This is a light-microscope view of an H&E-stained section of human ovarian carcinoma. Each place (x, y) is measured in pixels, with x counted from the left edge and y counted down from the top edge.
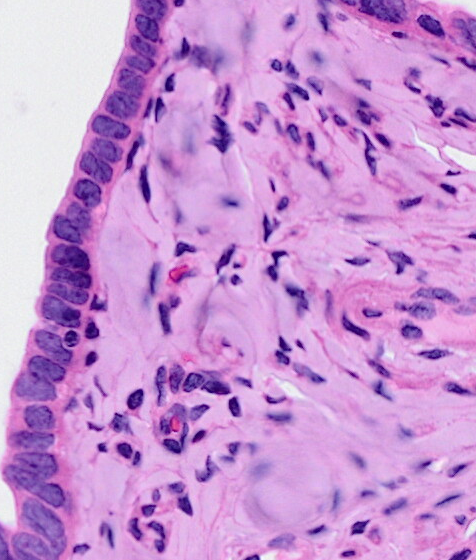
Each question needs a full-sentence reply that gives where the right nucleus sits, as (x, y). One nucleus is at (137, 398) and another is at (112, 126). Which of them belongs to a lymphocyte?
The nucleus at position (137, 398) belongs to a lymphocyte.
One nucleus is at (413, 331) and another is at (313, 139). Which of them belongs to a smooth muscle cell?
The nucleus at position (313, 139) belongs to a smooth muscle cell.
